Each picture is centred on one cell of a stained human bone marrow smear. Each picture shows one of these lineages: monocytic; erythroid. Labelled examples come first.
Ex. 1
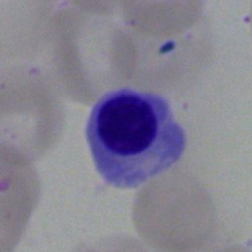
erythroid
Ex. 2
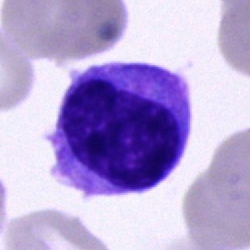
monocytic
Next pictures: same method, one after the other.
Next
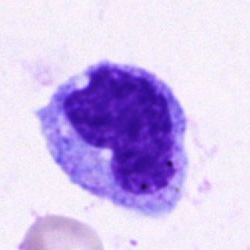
monocytic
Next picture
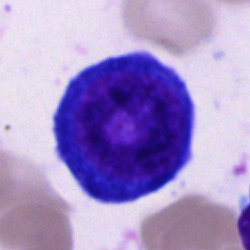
erythroid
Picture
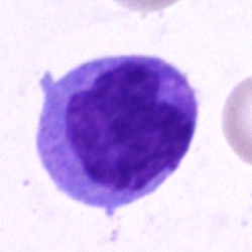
monocytic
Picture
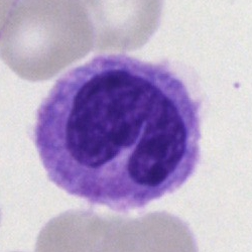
monocytic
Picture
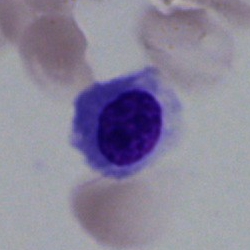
erythroid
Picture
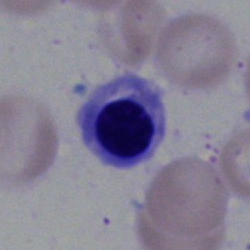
erythroid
